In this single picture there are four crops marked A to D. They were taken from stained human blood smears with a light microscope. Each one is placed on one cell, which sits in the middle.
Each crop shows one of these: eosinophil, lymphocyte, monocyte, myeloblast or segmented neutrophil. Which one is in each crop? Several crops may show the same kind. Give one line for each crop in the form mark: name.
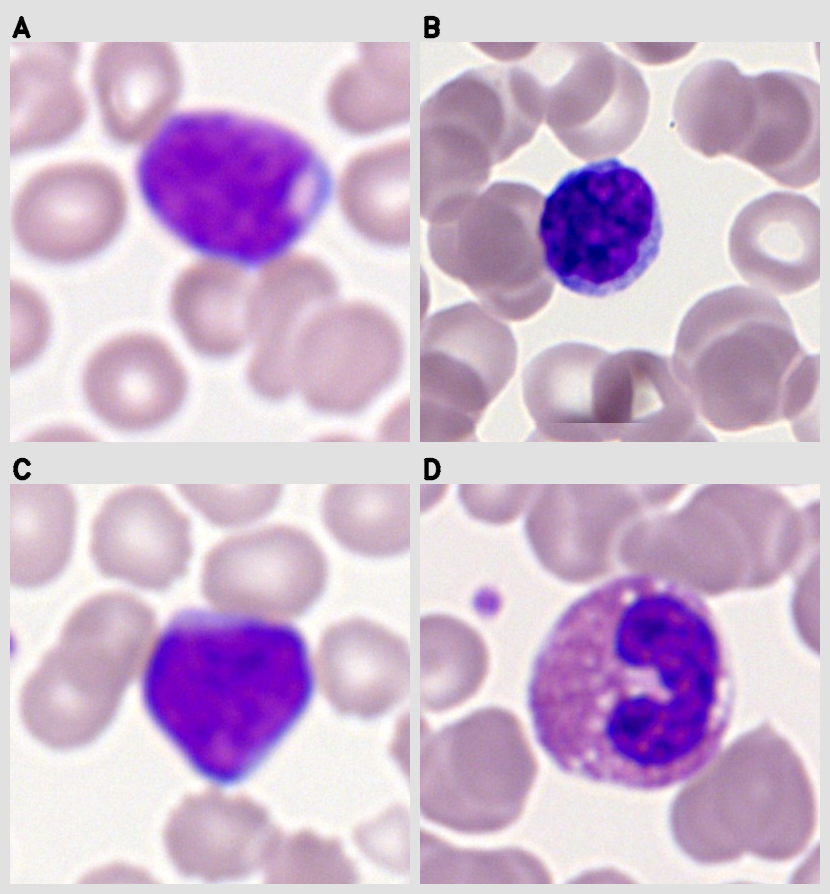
A: myeloblast
B: lymphocyte
C: myeloblast
D: eosinophil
